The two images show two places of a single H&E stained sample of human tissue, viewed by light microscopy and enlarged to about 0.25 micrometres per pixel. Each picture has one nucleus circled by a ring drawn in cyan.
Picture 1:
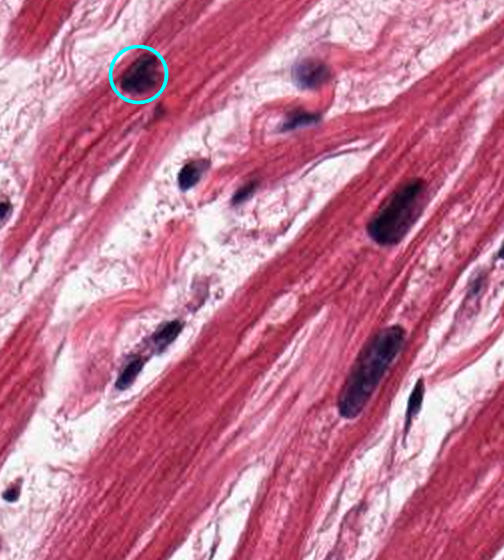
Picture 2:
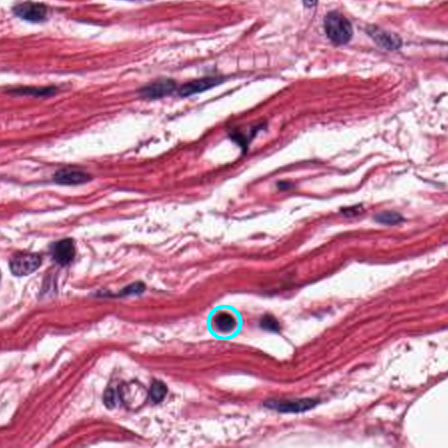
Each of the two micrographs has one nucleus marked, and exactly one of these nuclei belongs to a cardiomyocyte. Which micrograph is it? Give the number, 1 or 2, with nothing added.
1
